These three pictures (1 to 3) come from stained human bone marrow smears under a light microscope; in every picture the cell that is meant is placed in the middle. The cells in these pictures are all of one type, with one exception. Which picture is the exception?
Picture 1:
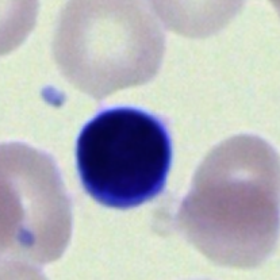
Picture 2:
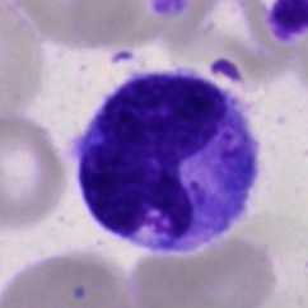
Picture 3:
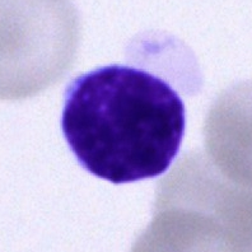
2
